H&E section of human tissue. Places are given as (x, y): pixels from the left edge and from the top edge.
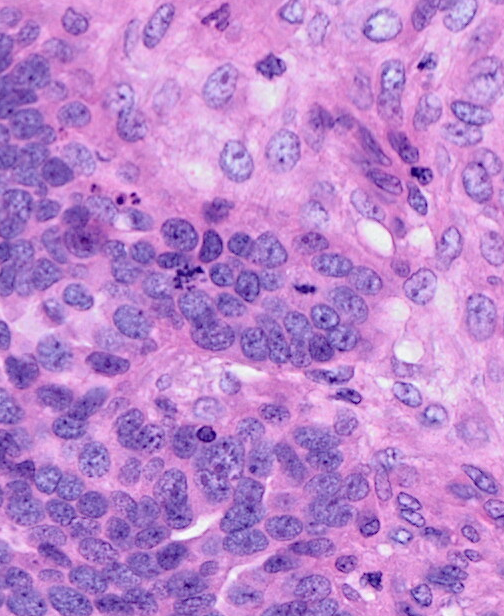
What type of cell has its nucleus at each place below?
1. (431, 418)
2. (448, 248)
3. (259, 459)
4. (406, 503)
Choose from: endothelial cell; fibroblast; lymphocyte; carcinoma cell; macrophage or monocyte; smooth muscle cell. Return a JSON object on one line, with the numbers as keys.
{"1": "fibroblast", "2": "fibroblast", "3": "carcinoma cell", "4": "endothelial cell"}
